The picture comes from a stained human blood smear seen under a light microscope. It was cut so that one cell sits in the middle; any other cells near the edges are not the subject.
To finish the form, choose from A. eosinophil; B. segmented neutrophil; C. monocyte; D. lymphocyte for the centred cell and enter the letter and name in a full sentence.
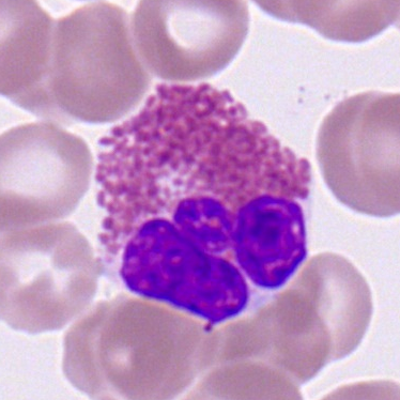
The one to choose is option A, as the cell in the middle is an eosinophil.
